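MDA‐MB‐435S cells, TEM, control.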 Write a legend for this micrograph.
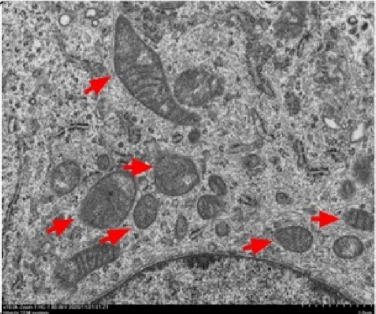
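This electron micrograph shows the cytoplasm of a cultured cell crowded with mitochondria. The mitochondria are oval to elongated, bounded by membranes and filled with well-defined parallel cristae. Between them the cytoplasm is granular, with small vesicles and short membrane profiles scattered through it. Along the lower part of the field runs the curved edge of the nucleus with its nuclear envelope.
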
